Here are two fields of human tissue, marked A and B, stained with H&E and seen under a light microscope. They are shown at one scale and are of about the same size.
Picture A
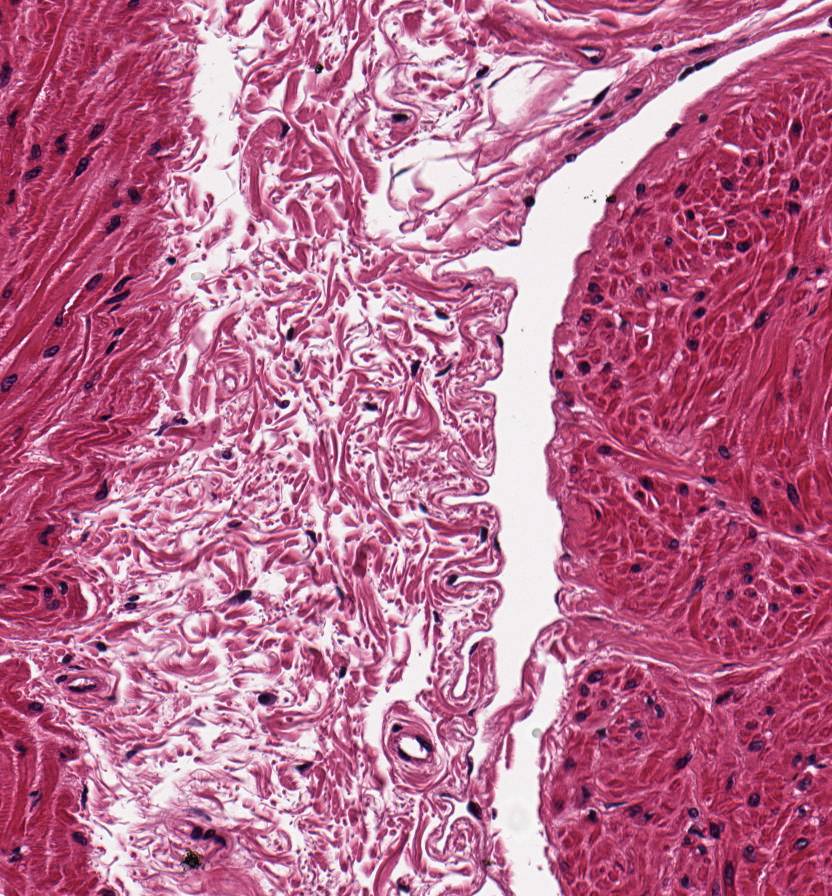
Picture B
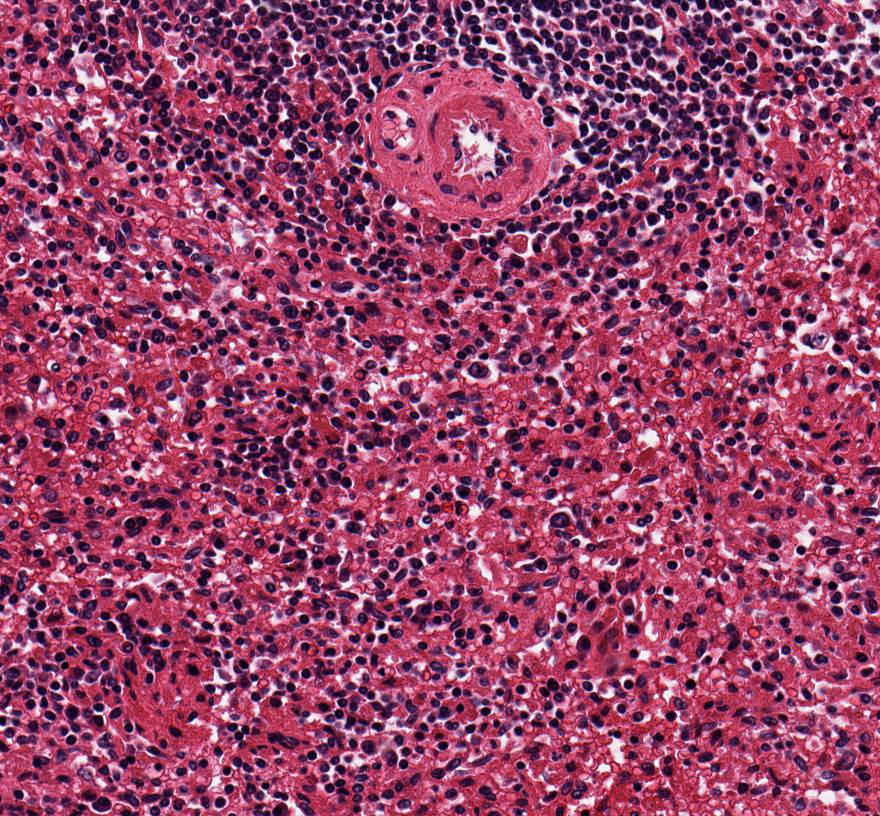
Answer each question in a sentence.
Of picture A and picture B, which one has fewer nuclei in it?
There are fewer nuclei in picture A.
